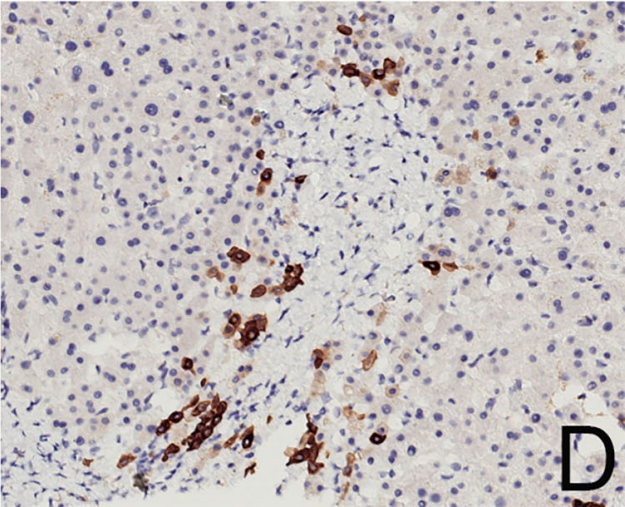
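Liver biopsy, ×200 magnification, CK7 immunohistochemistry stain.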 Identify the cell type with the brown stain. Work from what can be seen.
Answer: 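The brown cells lie at the edge of a looser, paler area. That points to this answer: hepatocytes.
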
